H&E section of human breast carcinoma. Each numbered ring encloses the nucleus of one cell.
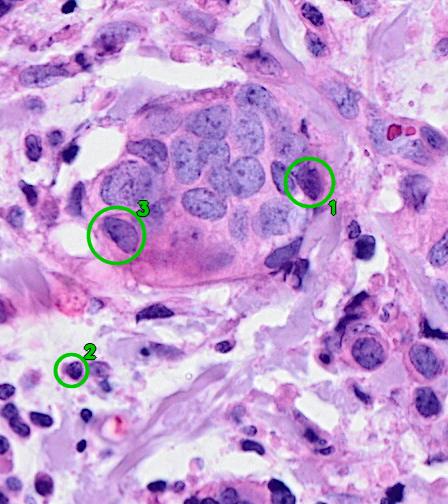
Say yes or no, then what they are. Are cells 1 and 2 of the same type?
No, cell 1 is a carcinoma cell, but cell 2 is a lymphocyte.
